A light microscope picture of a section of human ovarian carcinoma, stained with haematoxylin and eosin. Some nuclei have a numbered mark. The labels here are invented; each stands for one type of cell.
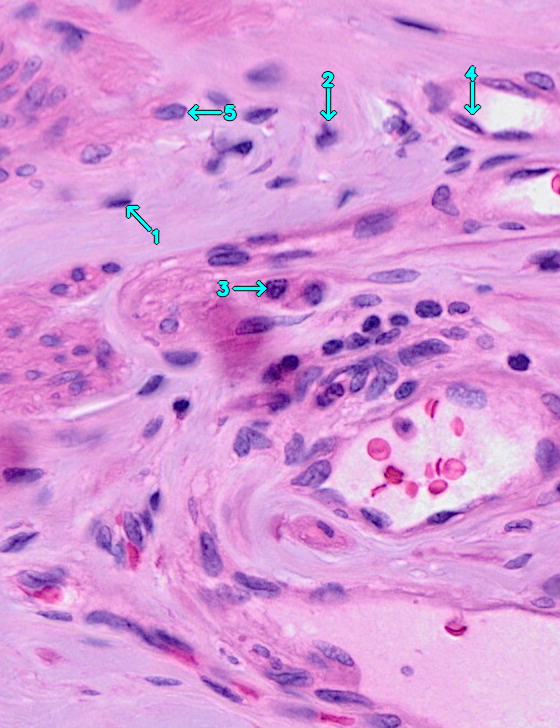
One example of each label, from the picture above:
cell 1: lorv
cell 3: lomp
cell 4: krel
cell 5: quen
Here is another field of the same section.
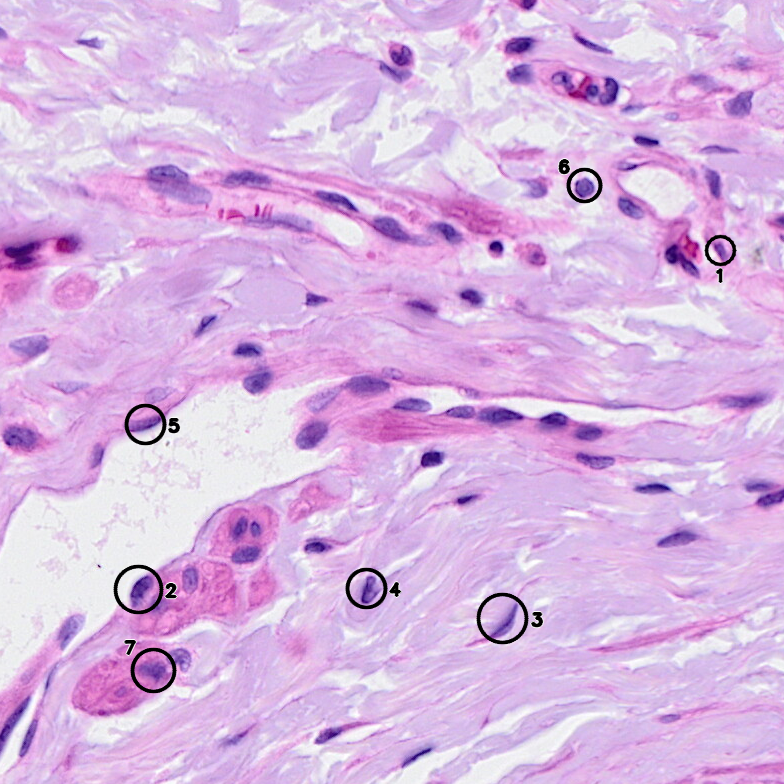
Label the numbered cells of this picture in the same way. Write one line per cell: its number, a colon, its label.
1: krel
2: krel
3: lorv
4: lorv
5: krel
6: lomp
7: quen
